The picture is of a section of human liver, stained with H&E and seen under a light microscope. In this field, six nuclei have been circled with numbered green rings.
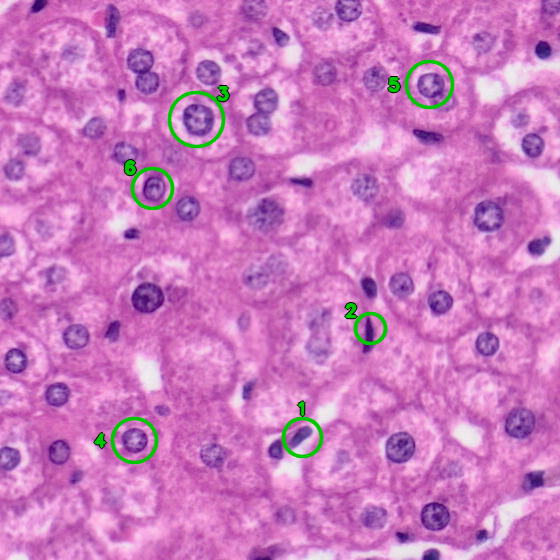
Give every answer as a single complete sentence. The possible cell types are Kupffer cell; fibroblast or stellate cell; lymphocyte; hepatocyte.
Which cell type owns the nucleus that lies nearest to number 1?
The cell nearest to number 1 is a Kupffer cell.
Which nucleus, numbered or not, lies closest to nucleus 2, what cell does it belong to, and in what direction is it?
A fibroblast or stellate cell lies closest, below nucleus 2.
